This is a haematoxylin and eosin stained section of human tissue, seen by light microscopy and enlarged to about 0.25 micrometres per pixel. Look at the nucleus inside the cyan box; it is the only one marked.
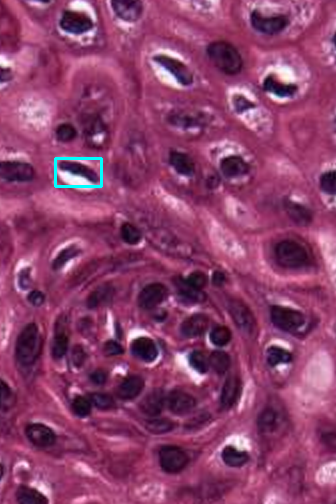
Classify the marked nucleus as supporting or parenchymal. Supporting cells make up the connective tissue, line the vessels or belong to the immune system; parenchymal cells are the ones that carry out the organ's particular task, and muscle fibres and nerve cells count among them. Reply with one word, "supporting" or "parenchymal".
parenchymal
